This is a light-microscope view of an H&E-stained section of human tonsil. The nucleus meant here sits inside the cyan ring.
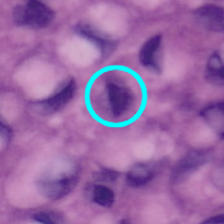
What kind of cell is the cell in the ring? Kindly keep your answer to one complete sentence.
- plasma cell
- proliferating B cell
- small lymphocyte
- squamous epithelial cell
It is as a squamous epithelial cell that the cell in the ring is classified.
